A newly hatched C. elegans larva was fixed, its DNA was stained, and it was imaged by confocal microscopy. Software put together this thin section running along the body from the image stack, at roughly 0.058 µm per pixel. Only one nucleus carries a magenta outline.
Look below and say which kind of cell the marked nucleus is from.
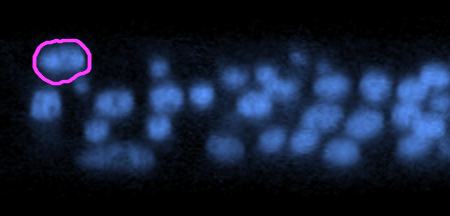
body wall muscle cell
